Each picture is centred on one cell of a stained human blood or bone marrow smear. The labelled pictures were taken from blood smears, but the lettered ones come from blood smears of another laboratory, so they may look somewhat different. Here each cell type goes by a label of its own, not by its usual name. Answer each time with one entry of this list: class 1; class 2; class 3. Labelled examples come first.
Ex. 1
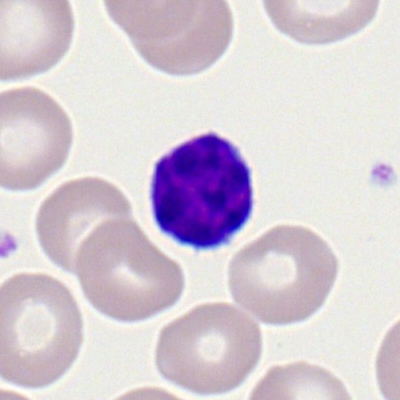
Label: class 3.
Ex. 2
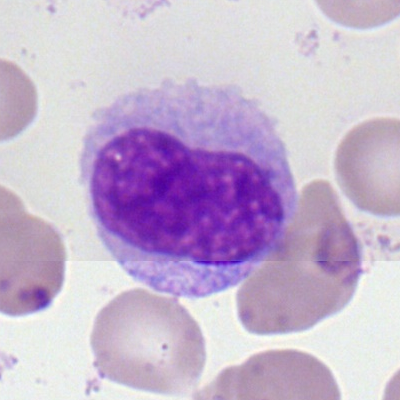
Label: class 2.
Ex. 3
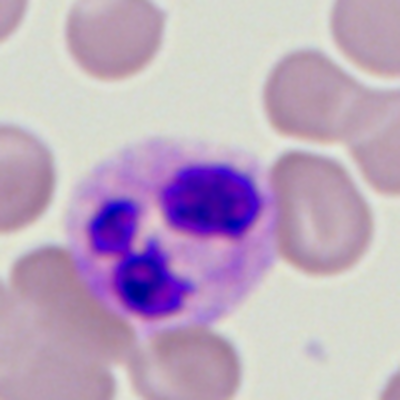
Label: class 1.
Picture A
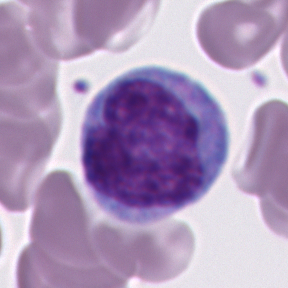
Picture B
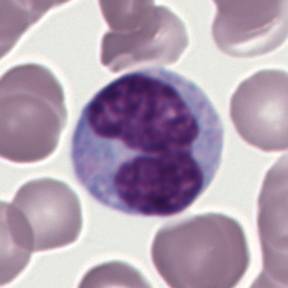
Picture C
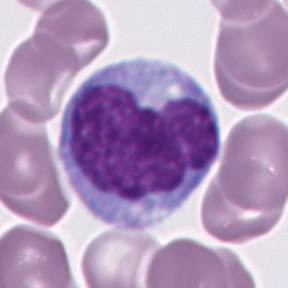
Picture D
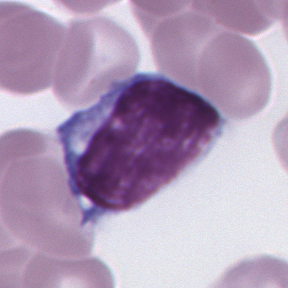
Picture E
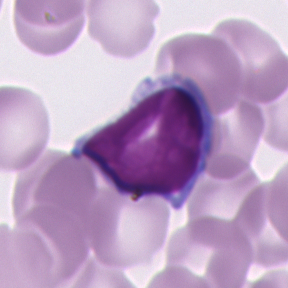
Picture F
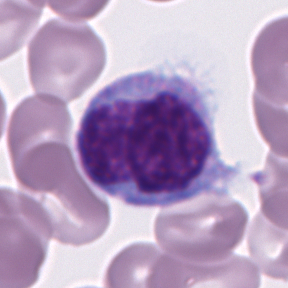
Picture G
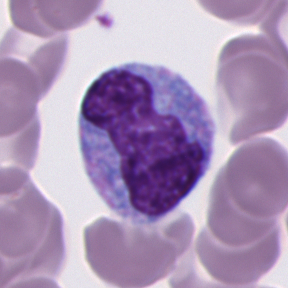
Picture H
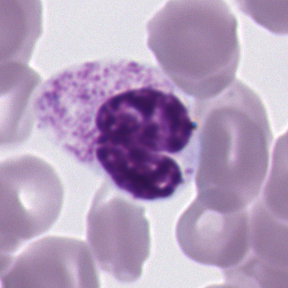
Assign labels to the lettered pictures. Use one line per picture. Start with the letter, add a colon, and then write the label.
A: class 2.
B: class 2.
C: class 2.
D: class 3.
E: class 3.
F: class 2.
G: class 2.
H: class 1.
